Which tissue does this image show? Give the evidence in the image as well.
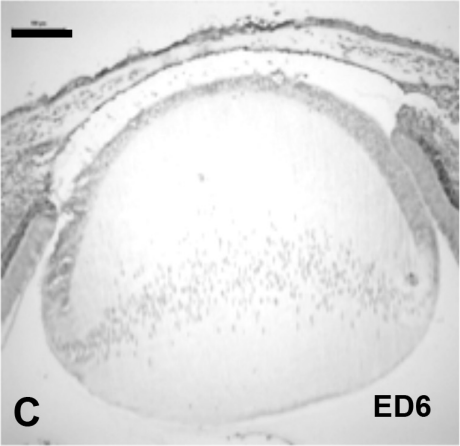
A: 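A large oval body with a thin cell layer over its front surface. A band of nuclei runs across its middle, the core is pale and fibrous.
Conclusion: lens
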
